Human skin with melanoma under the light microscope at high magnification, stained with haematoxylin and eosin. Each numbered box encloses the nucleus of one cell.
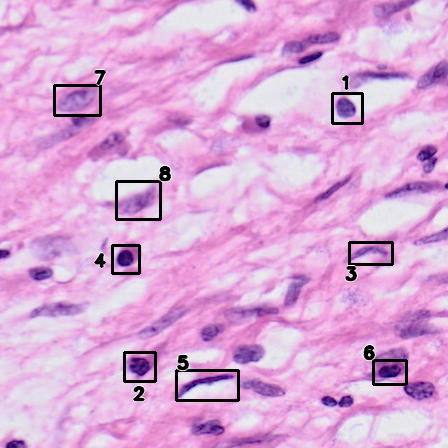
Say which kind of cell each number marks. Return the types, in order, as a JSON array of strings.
["lymphocyte", "plasma cell", "fibroblast or myofibroblast", "plasma cell", "fibroblast or myofibroblast", "plasma cell", "fibroblast or myofibroblast", "fibroblast or myofibroblast"]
